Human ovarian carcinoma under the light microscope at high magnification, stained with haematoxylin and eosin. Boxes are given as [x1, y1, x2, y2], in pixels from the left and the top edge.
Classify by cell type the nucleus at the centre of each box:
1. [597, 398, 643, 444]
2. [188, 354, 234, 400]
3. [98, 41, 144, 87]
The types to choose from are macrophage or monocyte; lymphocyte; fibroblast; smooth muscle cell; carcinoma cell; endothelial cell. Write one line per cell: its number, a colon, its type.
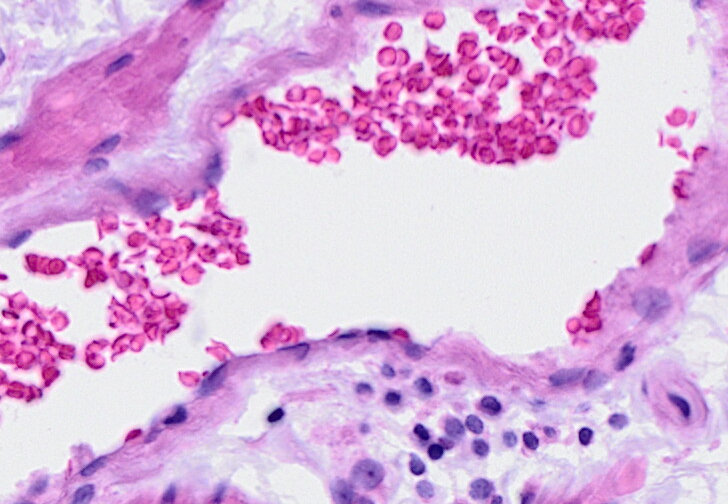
1: lymphocyte
2: endothelial cell
3: smooth muscle cell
